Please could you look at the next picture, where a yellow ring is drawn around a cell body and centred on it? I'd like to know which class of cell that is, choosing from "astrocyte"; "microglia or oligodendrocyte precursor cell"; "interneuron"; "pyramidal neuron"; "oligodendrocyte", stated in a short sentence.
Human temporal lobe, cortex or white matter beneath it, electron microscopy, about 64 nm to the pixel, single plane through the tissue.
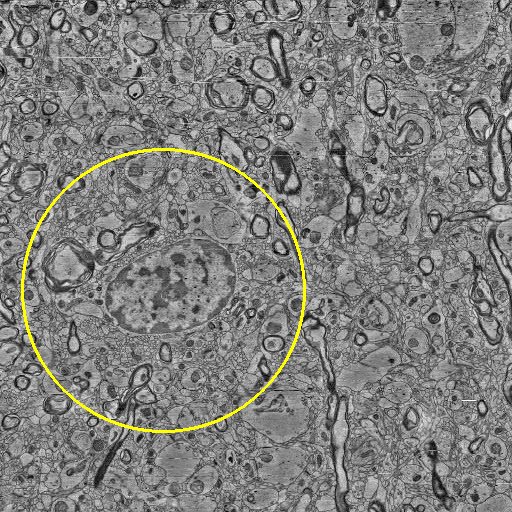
The ring's centre lies on a microglial cell or oligodendrocyte precursor cell.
